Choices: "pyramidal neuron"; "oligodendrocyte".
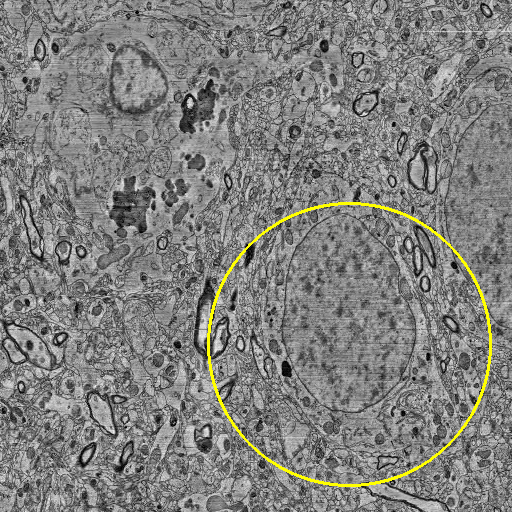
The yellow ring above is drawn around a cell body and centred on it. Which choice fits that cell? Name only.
pyramidal neuron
